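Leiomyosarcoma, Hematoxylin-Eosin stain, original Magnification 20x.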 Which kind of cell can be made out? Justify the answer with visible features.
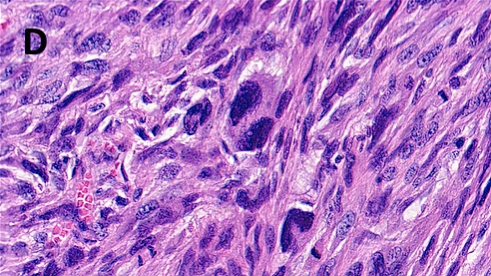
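Several cells are much larger than their neighbours. These large cells have very large, dark purple, irregular nuclei. That points to this answer: giant cells with hyperchromatic nuclei.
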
